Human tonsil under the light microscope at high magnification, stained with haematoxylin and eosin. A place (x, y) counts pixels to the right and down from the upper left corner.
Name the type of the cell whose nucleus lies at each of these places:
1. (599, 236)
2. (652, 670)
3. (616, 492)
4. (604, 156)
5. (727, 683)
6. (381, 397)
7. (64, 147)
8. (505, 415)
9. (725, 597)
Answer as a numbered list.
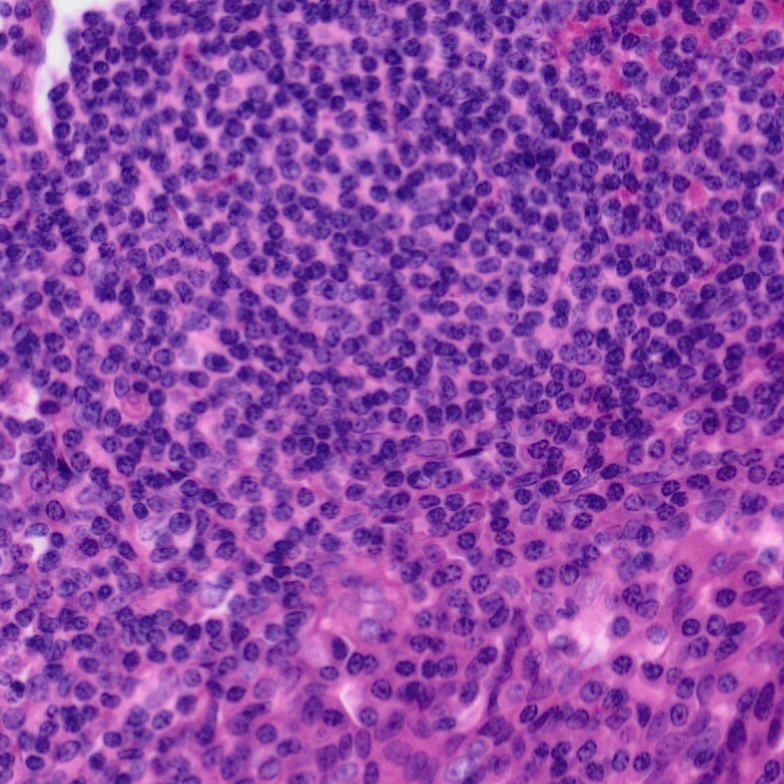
1. small lymphocyte
2. plasma cell
3. plasma cell
4. small lymphocyte
5. plasma cell
6. small lymphocyte
7. small lymphocyte
8. small lymphocyte
9. plasma cell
